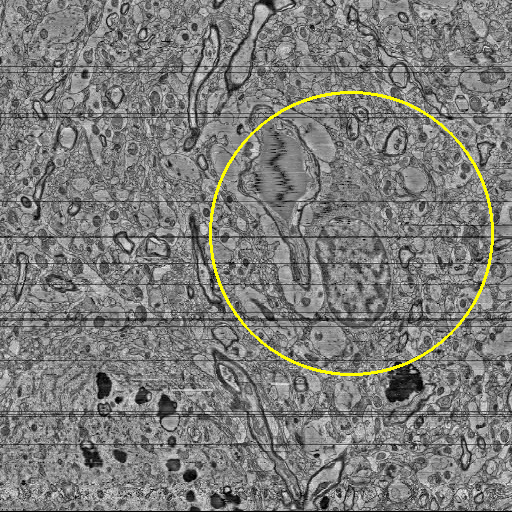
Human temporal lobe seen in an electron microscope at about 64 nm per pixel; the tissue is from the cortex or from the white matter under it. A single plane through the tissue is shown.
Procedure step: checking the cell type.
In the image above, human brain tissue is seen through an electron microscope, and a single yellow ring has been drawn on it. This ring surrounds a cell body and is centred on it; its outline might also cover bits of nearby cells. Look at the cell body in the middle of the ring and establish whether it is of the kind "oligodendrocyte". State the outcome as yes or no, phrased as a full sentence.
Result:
Yes, the cell body at the ring's centre in the image is of the kind in question.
